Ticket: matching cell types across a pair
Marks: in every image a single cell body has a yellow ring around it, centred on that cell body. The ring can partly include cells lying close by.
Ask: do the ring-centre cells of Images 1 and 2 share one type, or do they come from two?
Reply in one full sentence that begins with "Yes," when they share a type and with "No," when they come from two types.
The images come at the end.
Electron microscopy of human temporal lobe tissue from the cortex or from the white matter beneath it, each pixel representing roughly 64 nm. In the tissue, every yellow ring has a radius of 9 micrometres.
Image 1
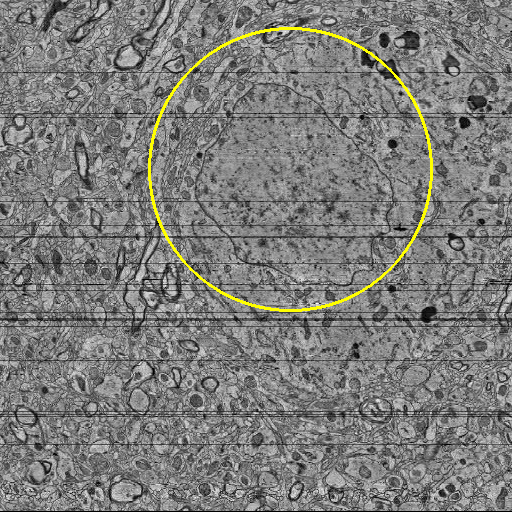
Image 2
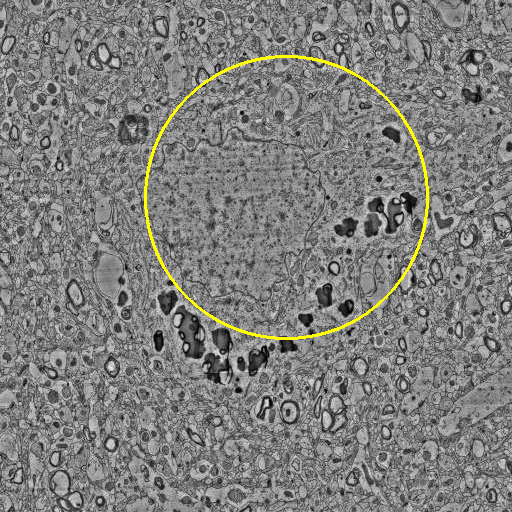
Yes, the cells in the centres of the rings in Image 1 and Image 2 share one type.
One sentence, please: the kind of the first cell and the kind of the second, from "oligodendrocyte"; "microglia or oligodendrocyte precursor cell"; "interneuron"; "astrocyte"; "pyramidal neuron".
Both the first and the second picture show a pyramidal neuron in the ring.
